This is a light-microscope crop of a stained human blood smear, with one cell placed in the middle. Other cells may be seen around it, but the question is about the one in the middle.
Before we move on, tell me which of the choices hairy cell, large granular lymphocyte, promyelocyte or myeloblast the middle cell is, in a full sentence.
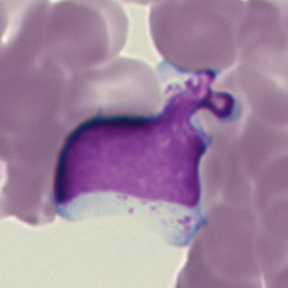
The central cell, amid any neighbouring cells, is a large granular lymphocyte.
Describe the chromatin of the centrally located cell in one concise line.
Check the chromatin: it is fine and not coarsely clumped.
